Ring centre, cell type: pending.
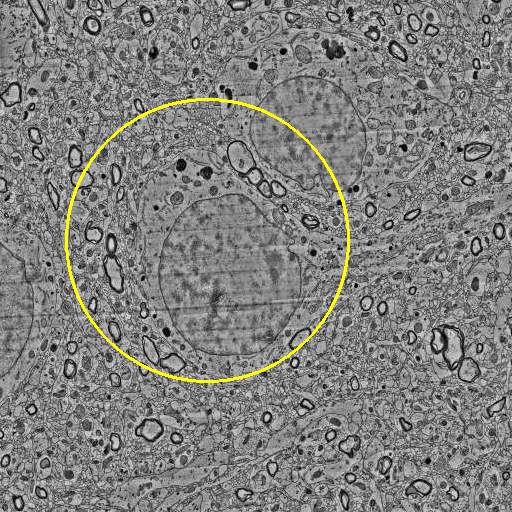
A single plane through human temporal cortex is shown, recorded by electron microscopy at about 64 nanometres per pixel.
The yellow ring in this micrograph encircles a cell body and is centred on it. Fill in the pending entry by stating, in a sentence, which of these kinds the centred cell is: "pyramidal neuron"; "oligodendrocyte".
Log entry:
The centred cell is recorded as a pyramidal neuron.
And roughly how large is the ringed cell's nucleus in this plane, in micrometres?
Roughly 10 micrometres across, measured in this plane.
